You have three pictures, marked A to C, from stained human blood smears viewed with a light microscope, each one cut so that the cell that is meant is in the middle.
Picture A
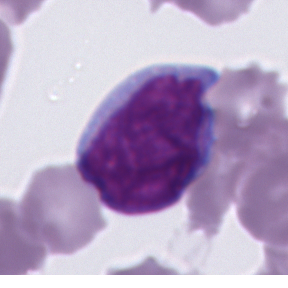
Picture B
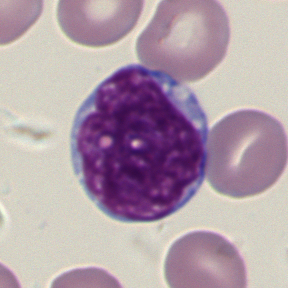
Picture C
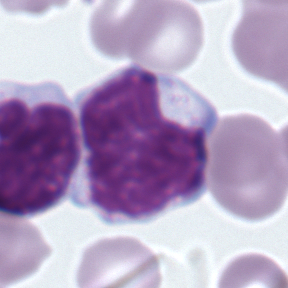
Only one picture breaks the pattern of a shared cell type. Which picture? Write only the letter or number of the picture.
C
